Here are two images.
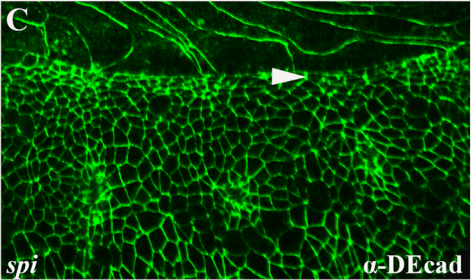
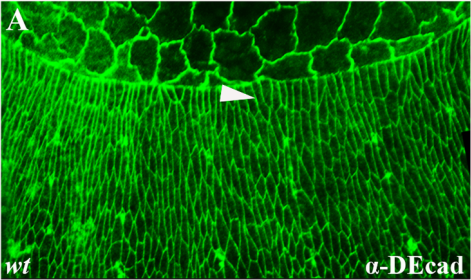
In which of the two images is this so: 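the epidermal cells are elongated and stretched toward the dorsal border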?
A: the second image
